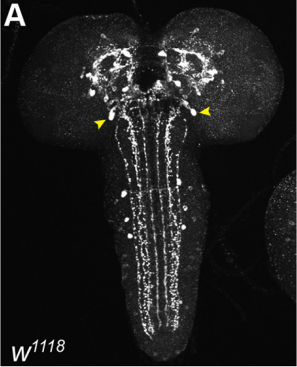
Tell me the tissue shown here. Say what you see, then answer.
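Larval brain. Two rounded hemispheres sit at the top. An elongated cord extends downward from between them.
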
